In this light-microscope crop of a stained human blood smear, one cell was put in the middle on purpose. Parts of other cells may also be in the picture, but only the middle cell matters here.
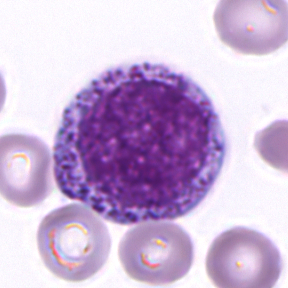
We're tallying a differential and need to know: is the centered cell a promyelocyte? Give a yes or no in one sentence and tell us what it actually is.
No, this one is a myelocyte; it is not a promyelocyte.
